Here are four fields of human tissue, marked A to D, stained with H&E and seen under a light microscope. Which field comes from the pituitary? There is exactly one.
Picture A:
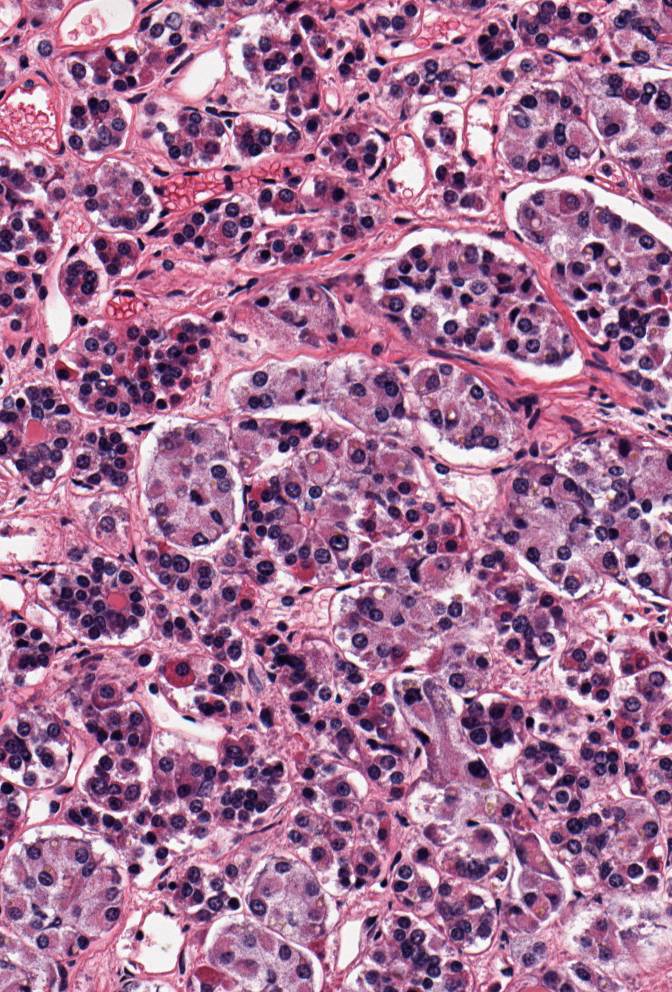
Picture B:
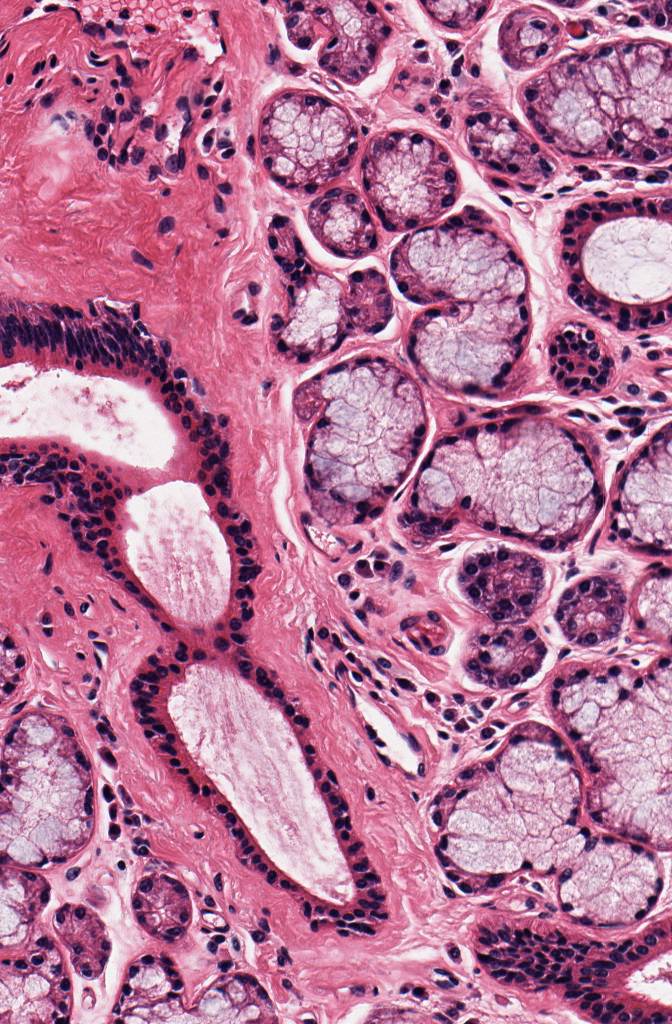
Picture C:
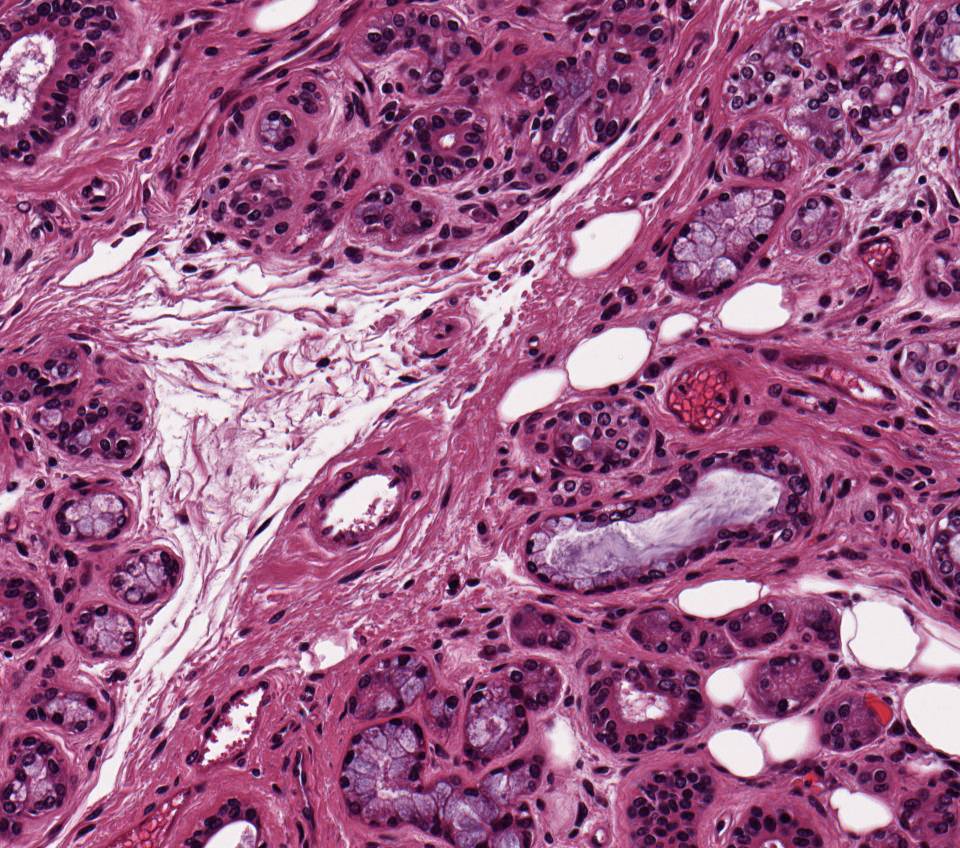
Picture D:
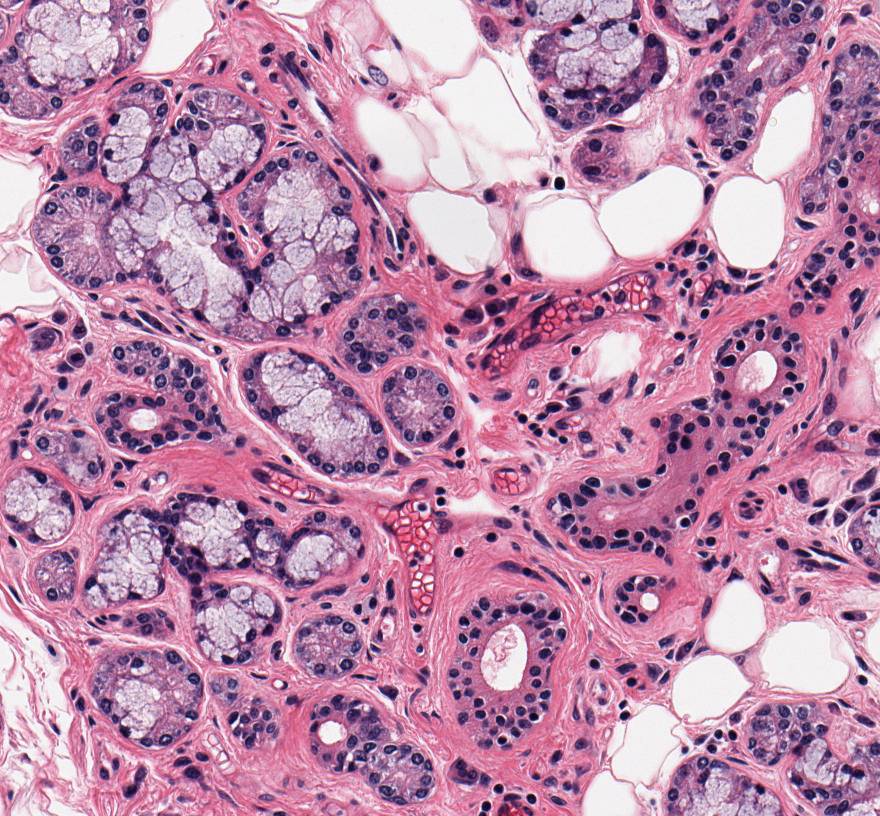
A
